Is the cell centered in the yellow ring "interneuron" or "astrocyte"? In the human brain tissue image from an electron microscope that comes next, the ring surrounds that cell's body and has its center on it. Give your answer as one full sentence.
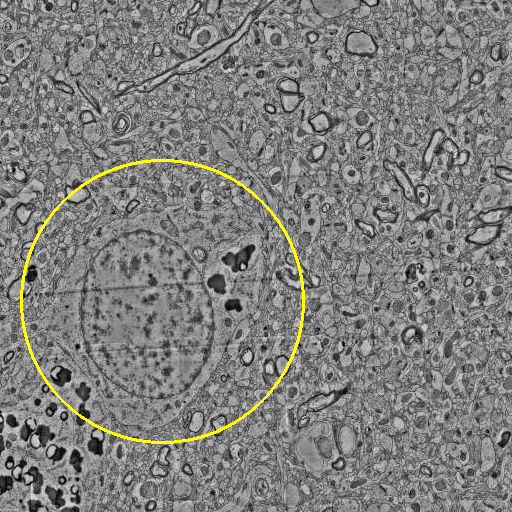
The cell at the center of the yellow ring is an interneuron in the micrograph.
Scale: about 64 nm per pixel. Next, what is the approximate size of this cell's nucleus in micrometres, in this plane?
In this plane the nucleus is about 11 micrometres by 9.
